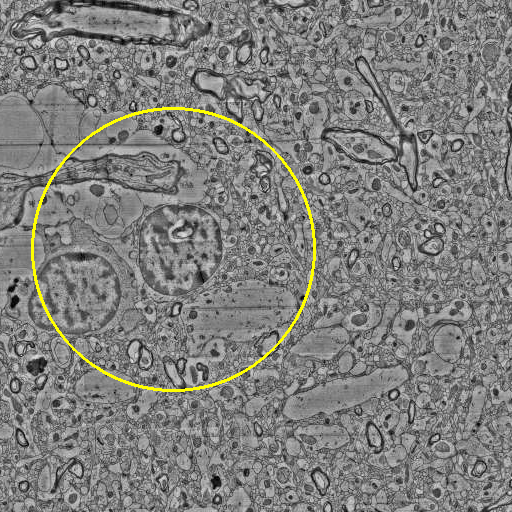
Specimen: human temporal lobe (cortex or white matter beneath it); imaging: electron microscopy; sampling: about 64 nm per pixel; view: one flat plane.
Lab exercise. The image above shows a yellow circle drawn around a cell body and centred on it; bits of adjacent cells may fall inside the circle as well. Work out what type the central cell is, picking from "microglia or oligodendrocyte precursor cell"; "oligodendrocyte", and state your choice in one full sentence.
In the image above, the cell at the centre of the yellow circle is a microglial cell or oligodendrocyte precursor cell.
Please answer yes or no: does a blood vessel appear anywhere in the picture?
Yes, the image shows a blood vessel.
